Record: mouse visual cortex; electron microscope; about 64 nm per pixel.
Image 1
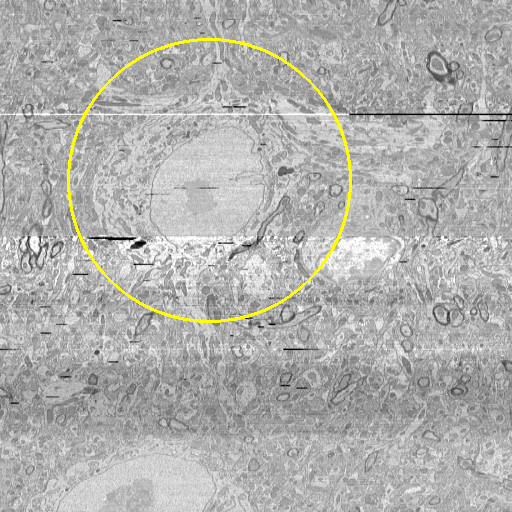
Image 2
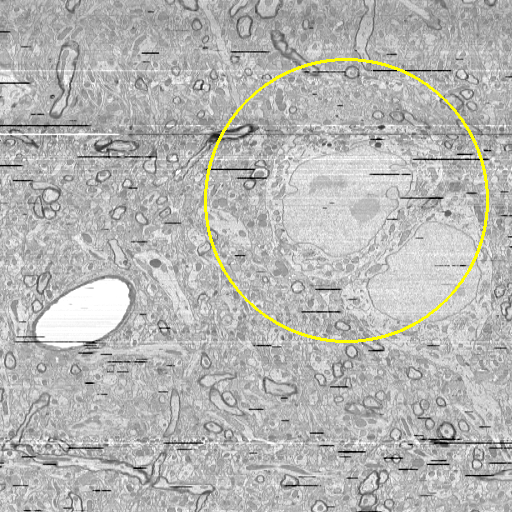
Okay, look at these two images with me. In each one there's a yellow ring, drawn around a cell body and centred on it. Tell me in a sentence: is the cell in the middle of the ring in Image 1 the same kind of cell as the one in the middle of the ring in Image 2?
Yes, they're the same kind of cell.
